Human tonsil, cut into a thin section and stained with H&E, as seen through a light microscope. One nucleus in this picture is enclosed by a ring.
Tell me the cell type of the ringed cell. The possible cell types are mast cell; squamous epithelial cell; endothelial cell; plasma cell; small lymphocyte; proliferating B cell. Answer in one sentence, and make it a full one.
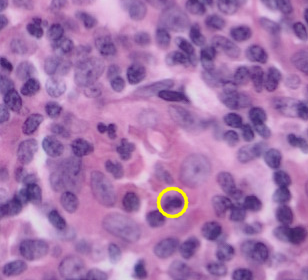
The correct response here is that the ringed cell is an endothelial cell.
